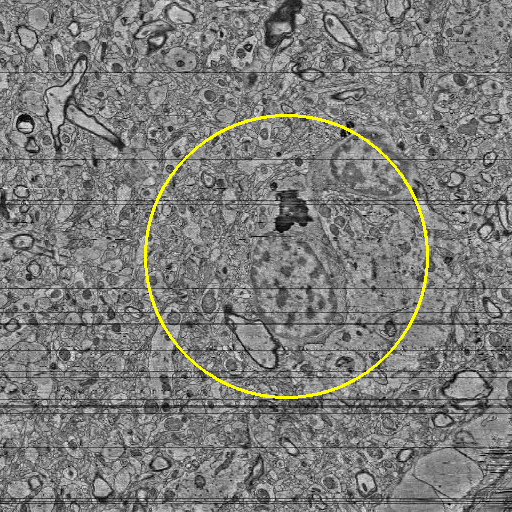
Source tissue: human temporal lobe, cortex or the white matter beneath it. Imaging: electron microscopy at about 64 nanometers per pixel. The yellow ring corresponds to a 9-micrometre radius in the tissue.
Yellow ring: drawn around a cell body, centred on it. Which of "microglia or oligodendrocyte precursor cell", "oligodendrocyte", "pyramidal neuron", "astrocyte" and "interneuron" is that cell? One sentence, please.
That cell body is from an oligodendrocyte.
